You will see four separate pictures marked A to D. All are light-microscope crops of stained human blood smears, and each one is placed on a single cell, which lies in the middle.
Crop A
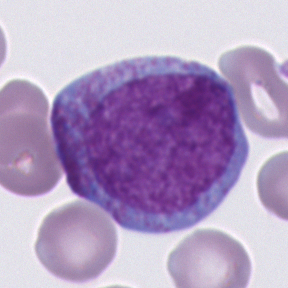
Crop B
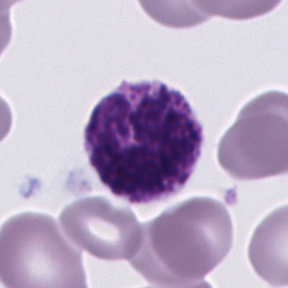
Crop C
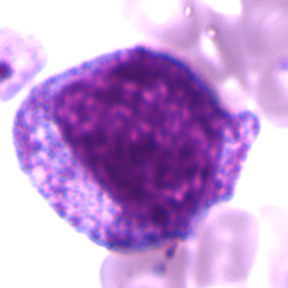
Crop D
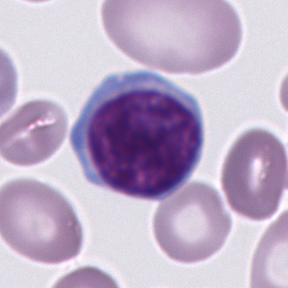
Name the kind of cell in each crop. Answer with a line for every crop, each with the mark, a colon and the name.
A: promyelocyte
B: basophil
C: promyelocyte
D: typical lymphocyte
